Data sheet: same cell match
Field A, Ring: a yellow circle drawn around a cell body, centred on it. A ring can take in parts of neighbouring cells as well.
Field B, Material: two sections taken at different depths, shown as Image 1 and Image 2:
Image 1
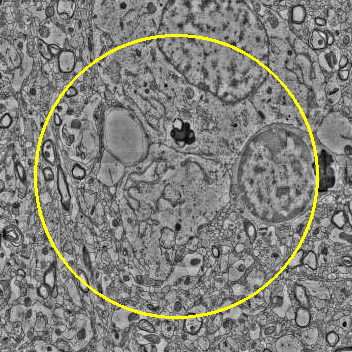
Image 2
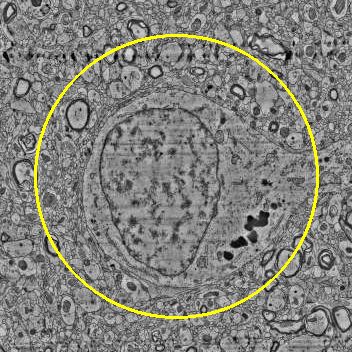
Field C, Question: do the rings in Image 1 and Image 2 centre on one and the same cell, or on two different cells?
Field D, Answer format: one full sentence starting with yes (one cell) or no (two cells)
No, the two rings are not on the same cell.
